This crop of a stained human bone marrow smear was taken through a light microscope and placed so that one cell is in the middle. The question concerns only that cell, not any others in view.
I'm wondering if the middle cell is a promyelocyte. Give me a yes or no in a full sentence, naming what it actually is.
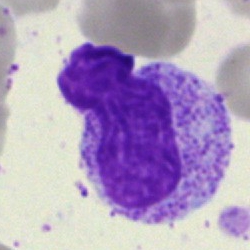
No, the central cell is a myelocyte; it should not be labelled a promyelocyte.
